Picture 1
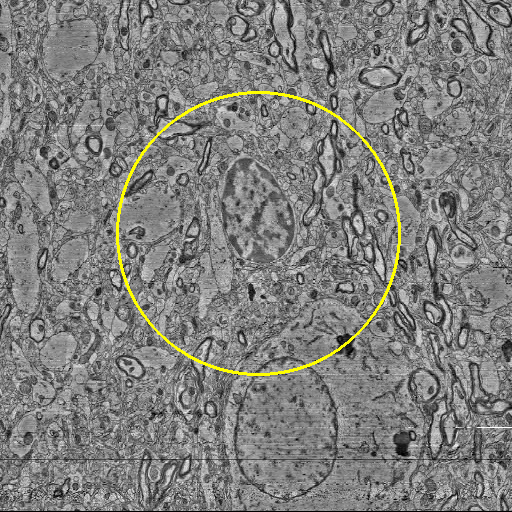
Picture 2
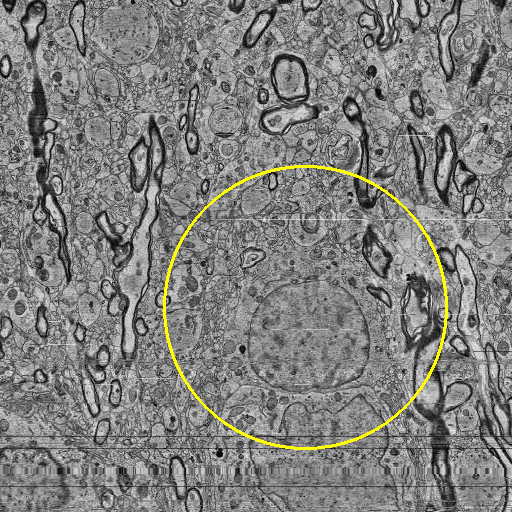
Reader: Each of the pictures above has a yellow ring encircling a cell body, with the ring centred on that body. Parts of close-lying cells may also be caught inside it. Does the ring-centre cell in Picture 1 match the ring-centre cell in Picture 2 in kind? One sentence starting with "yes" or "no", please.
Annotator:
No, Picture 1 and Picture 2 show ring-centre cells of two kinds.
